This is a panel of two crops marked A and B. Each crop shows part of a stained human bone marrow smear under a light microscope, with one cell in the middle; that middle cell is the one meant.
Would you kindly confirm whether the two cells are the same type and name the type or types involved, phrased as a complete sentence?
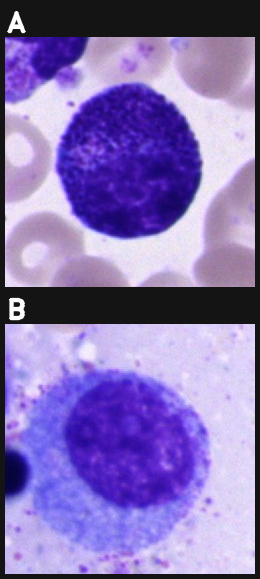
Yes, in both of the crops, the central cells are promyelocytes.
